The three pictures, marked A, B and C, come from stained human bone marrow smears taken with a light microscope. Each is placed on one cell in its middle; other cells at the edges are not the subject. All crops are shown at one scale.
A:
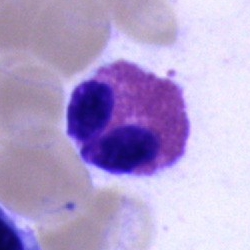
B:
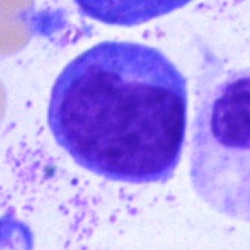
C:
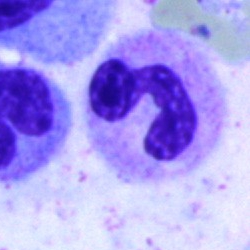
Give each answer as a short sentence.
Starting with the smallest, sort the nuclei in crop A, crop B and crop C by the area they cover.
Going up, they run A, C, B.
